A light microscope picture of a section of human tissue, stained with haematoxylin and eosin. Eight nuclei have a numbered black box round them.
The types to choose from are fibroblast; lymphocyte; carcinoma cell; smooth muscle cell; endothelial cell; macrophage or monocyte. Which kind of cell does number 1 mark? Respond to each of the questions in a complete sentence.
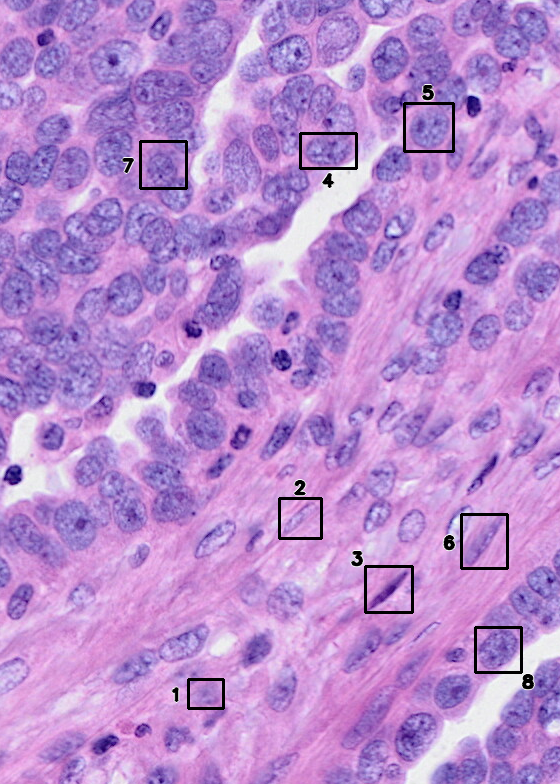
The cell with the number 1 is a fibroblast.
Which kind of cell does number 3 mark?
The cell that carries the label 3 is a fibroblast.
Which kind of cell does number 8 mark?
The cell indicated by marker 8 is a carcinoma cell in this section.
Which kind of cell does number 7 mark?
What the number 7 marks in this field is a carcinoma cell.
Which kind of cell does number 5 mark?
In this section, the cell numbered 5 is a carcinoma cell.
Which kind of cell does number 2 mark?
Nucleus 2 in this section belongs to a fibroblast.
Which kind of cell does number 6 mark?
Heads up, the cell numbered 6 is a fibroblast.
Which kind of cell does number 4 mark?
The cell marked with the number 4 is a carcinoma cell.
